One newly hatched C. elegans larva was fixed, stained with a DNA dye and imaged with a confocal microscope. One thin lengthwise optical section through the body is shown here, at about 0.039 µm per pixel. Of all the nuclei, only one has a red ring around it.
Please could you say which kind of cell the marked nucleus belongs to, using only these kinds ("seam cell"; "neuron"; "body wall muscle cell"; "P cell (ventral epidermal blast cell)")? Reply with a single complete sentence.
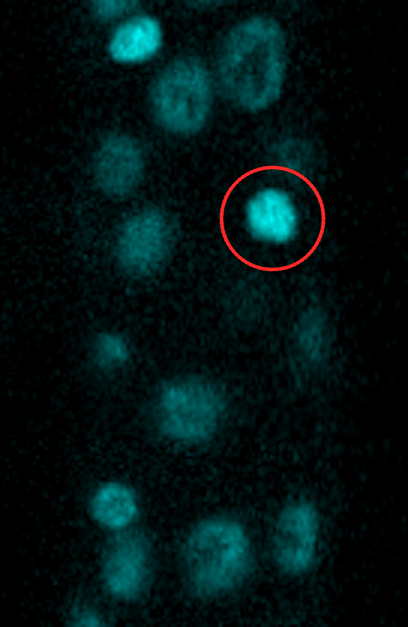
The marked nucleus belongs to a neuron.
